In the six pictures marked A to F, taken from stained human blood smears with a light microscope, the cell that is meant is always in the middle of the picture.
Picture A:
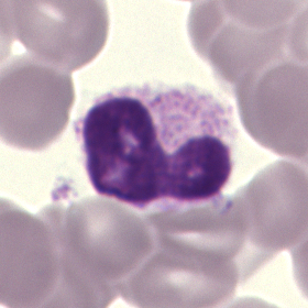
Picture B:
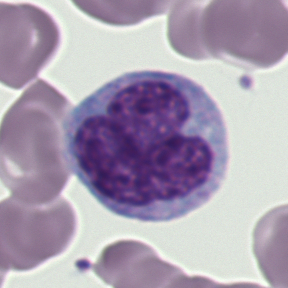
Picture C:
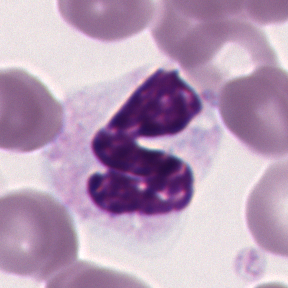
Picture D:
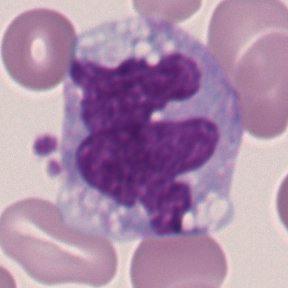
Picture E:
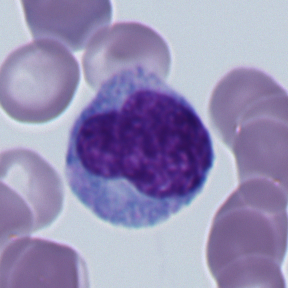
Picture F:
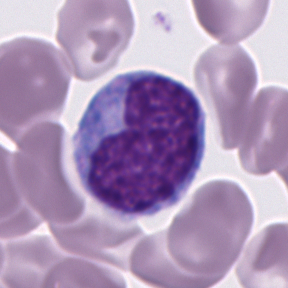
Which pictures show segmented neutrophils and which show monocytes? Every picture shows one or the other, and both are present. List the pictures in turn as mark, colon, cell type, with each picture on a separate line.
A: segmented neutrophil
B: monocyte
C: segmented neutrophil
D: monocyte
E: monocyte
F: monocyte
